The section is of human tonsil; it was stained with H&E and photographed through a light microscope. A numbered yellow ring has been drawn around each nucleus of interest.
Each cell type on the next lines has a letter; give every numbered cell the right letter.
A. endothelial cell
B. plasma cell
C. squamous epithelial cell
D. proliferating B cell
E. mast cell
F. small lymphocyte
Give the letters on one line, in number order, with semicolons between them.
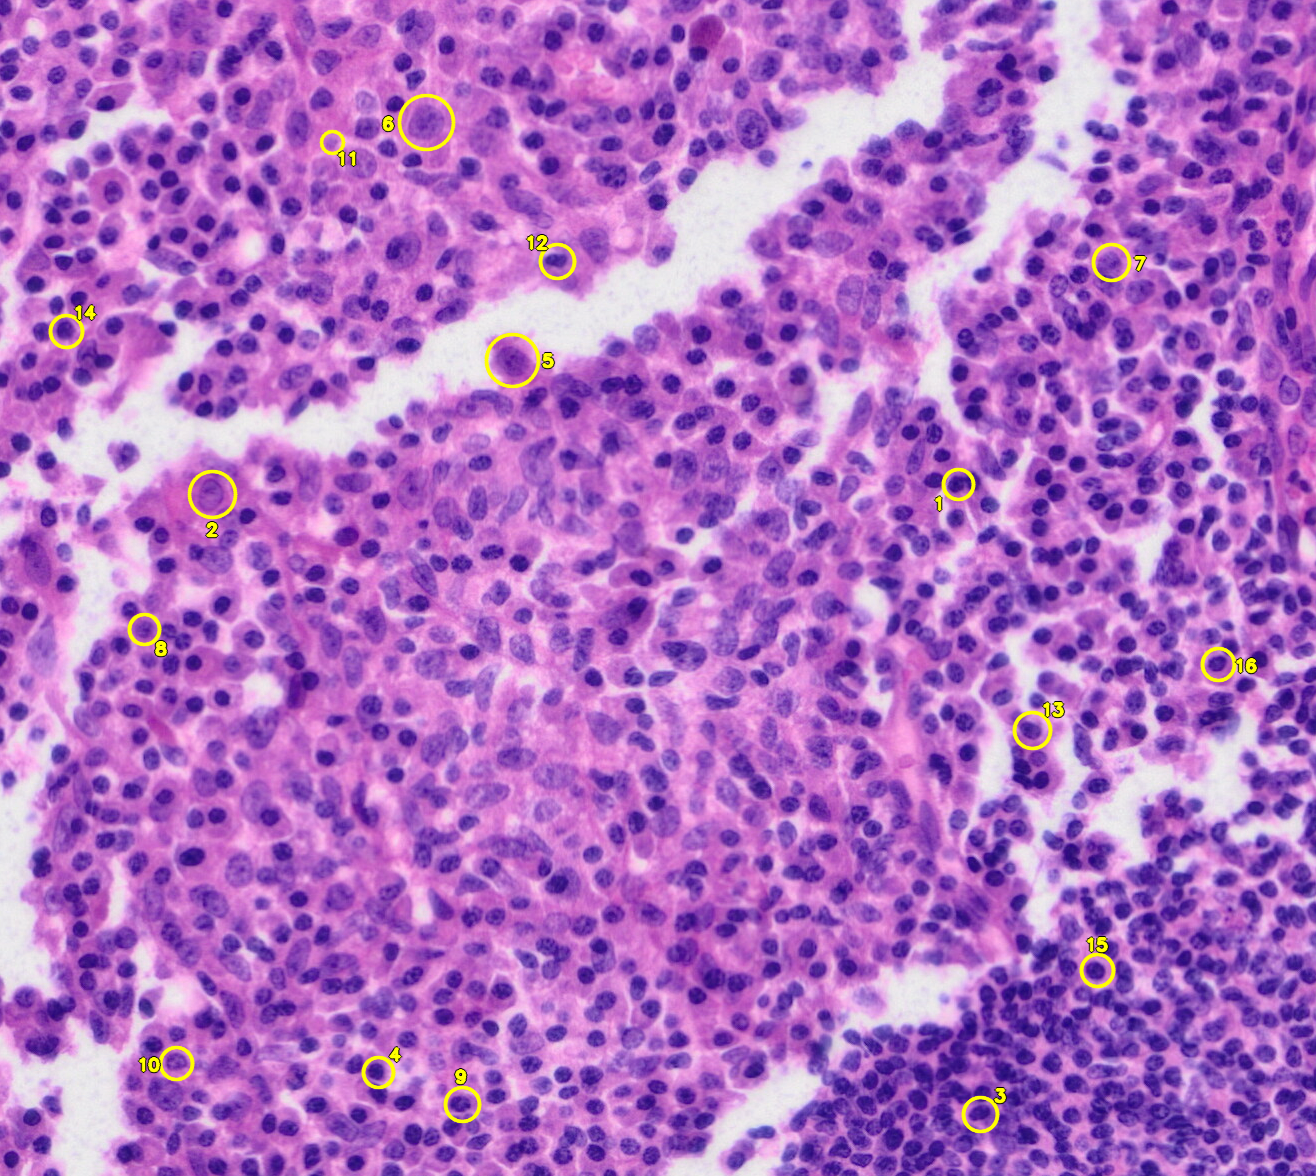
B; C; F; B; C; C; C; B; B; B; C; C; B; B; F; B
